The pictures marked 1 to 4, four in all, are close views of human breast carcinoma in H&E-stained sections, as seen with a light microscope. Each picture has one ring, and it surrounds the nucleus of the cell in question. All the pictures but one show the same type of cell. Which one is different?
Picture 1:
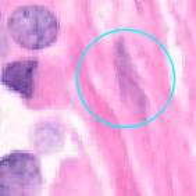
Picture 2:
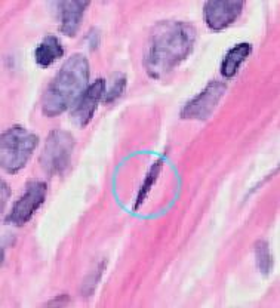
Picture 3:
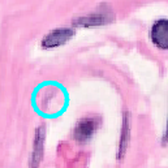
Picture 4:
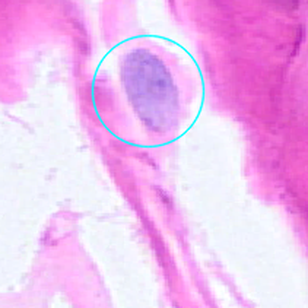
3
